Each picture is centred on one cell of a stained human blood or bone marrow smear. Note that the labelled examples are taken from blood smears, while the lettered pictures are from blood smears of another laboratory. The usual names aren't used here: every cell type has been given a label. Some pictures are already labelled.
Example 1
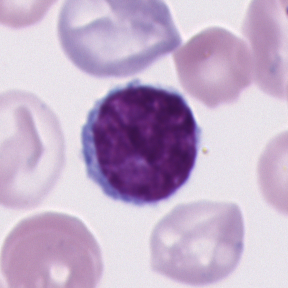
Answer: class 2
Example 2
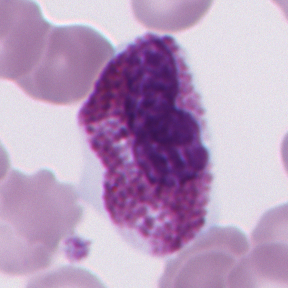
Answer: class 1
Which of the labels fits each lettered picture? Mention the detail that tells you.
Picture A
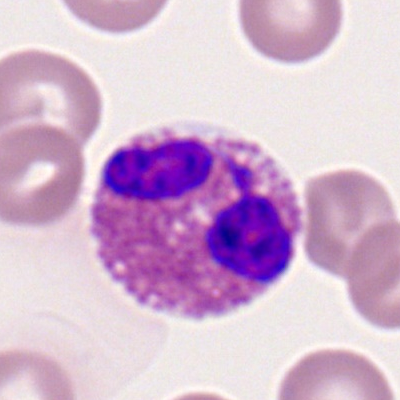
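class 1. The nucleus is made of two separate lobes.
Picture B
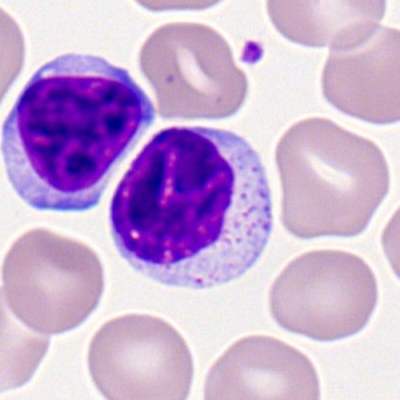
class 2. Scattered small reddish-purple granules lie in the cytoplasm.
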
